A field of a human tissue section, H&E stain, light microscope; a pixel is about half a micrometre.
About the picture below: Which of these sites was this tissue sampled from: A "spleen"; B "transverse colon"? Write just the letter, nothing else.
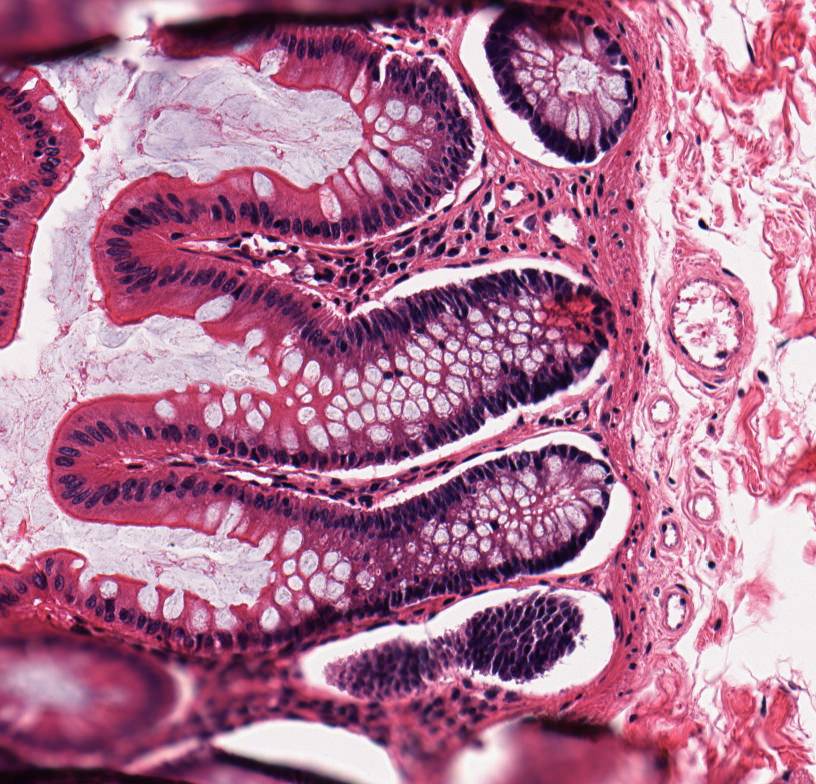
B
